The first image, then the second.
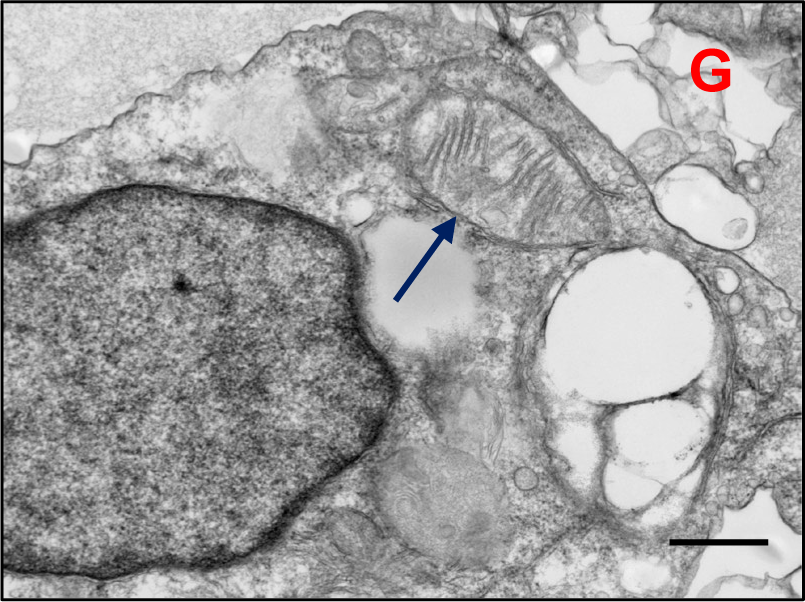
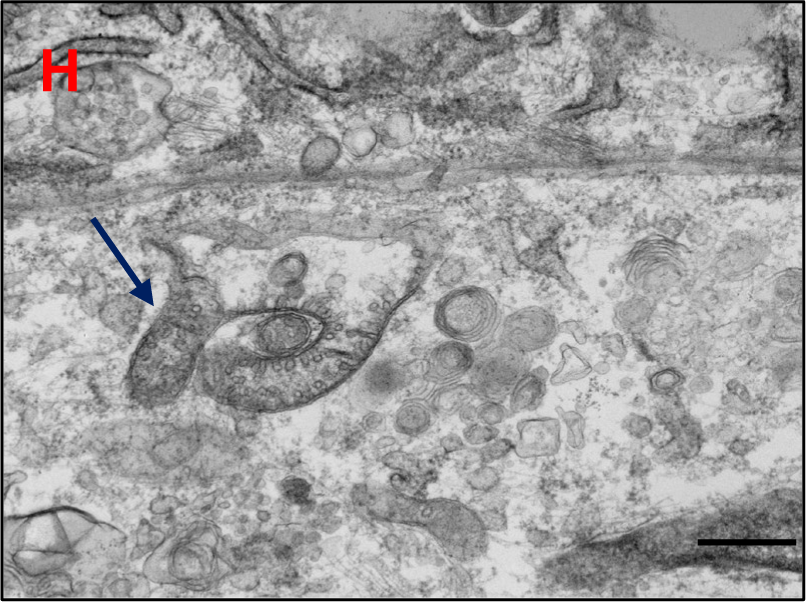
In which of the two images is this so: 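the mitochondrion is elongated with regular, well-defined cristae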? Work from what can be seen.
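The first image. First image: the marked mitochondrion is large and elongated with parallel transverse cristae.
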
